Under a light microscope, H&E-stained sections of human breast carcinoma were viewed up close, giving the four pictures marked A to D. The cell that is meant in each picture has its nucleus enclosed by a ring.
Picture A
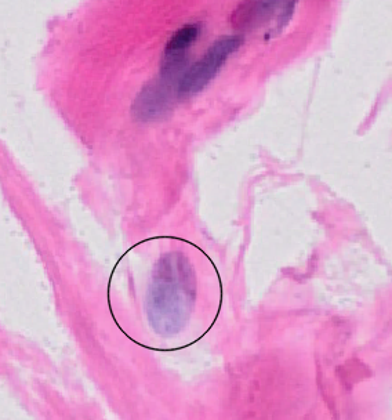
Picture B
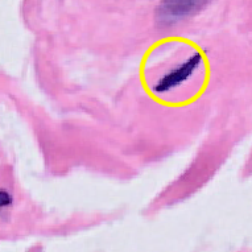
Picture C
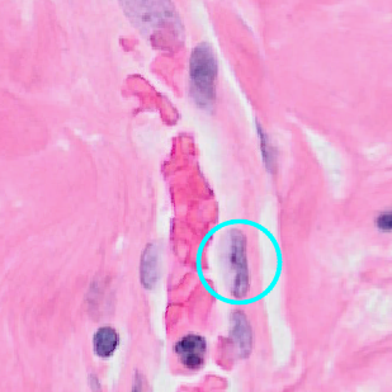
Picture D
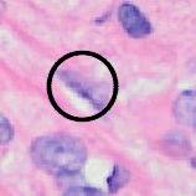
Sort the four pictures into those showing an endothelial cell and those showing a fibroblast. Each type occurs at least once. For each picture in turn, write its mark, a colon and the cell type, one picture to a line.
A: fibroblast
B: fibroblast
C: endothelial cell
D: fibroblast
